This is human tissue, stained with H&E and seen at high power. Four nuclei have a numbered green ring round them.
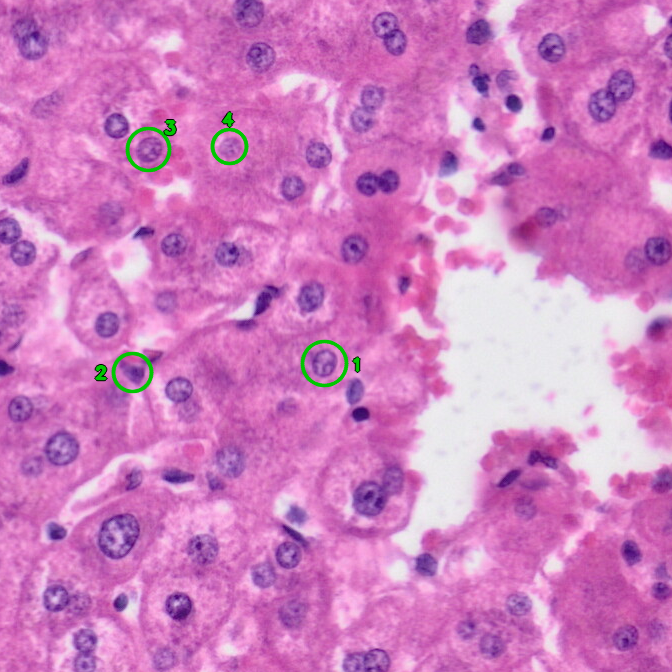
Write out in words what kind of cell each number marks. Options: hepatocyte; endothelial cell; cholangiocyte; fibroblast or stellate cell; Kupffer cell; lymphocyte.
Cell 1 is a hepatocyte, cell 2 is a fibroblast or stellate cell, cell 3 is a hepatocyte and cell 4 is a hepatocyte.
